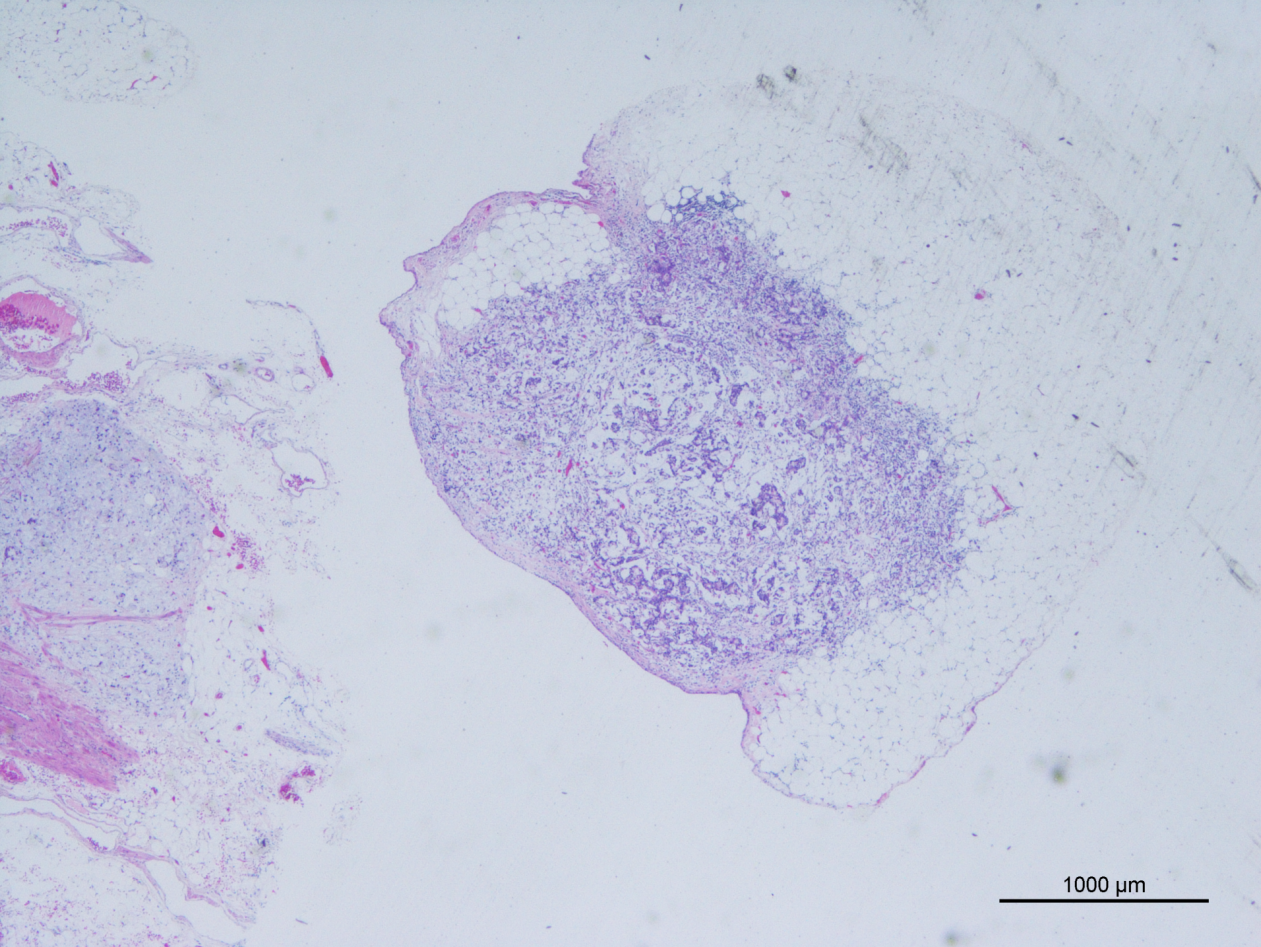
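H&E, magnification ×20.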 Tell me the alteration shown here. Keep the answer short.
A: Tumor deposits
